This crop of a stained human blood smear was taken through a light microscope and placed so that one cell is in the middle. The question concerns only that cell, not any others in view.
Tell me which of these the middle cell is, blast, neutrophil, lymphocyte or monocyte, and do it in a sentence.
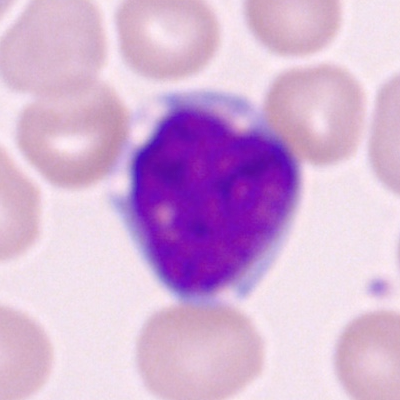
Located at the centre of the crop is a blast.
